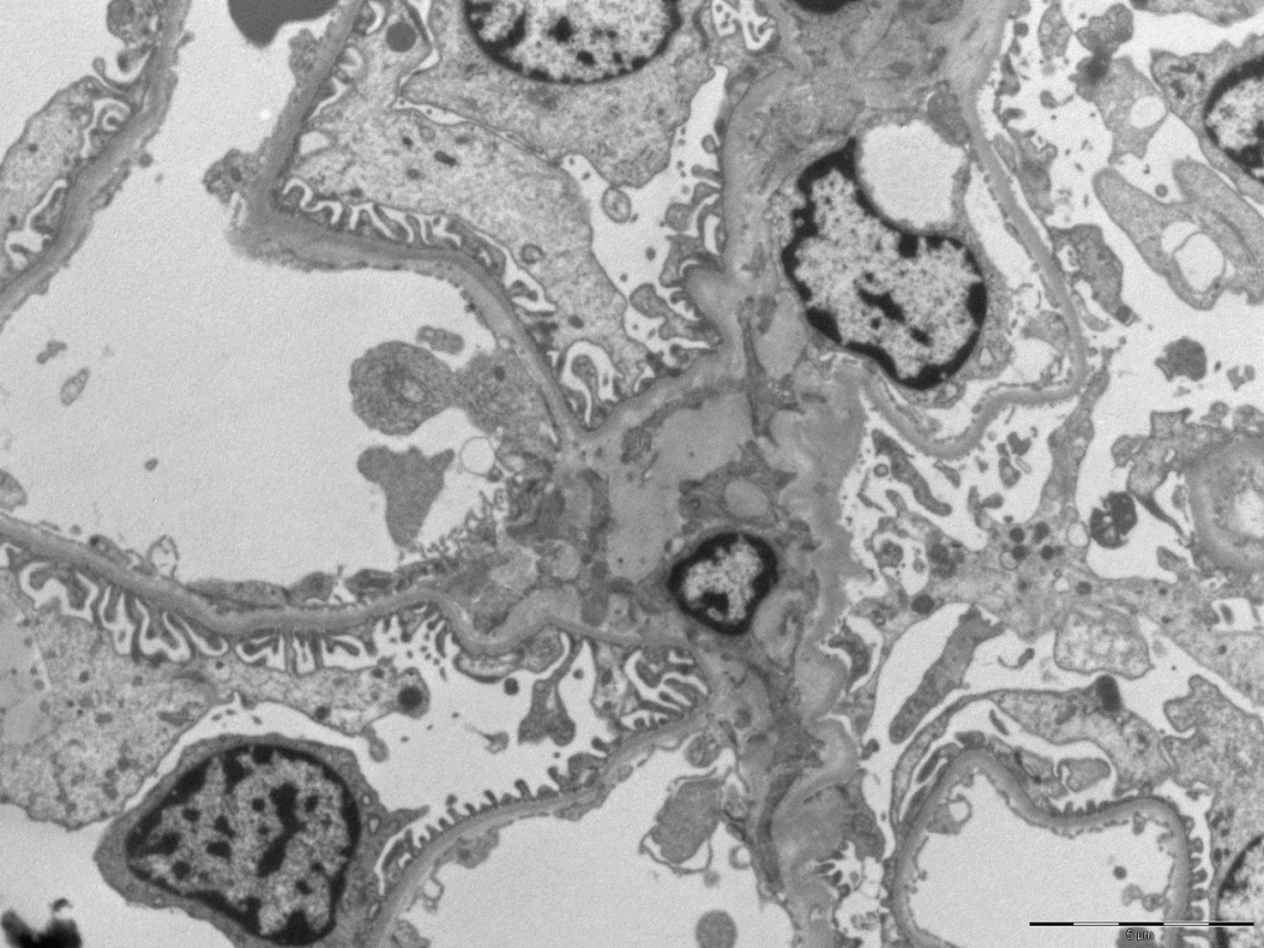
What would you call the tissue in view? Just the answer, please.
Renal tissue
